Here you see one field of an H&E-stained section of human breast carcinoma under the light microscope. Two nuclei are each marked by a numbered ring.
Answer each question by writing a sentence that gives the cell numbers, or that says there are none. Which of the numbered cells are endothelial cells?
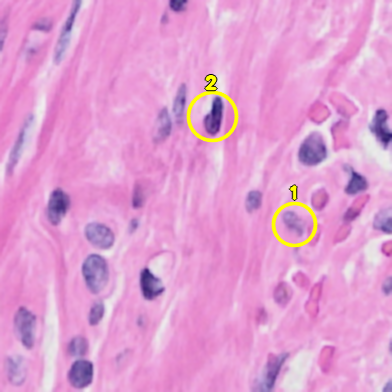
None but cell 1 among the numbered cells is an endothelial cell.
